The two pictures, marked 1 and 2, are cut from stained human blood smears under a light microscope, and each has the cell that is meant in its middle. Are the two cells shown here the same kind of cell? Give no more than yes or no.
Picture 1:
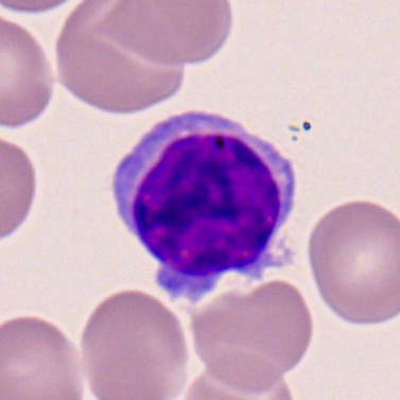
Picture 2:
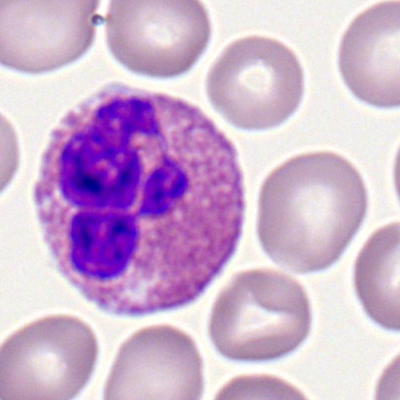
no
